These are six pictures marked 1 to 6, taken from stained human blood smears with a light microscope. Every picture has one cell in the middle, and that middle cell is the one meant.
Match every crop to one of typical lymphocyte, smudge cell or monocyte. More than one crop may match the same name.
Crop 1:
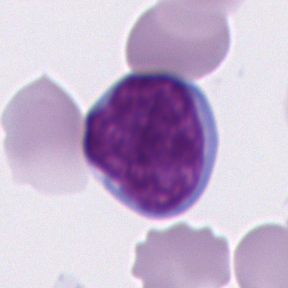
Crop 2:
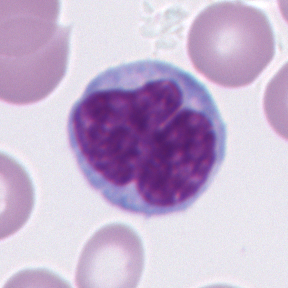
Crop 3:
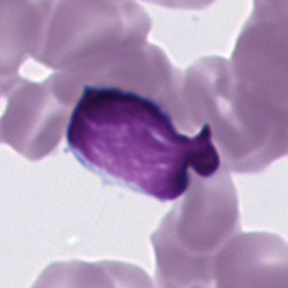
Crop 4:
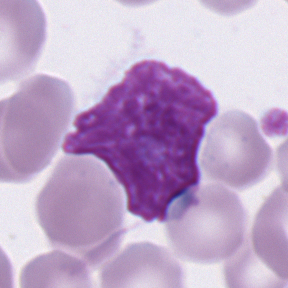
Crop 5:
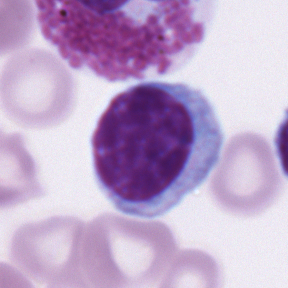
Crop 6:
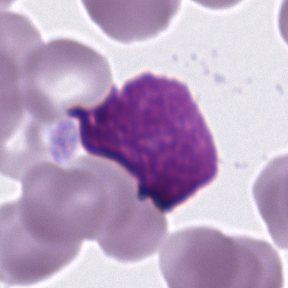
1: typical lymphocyte
2: typical lymphocyte
3: typical lymphocyte
4: smudge cell
5: typical lymphocyte
6: smudge cell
